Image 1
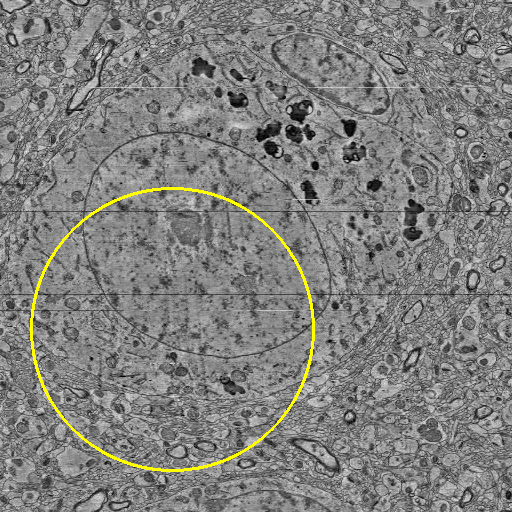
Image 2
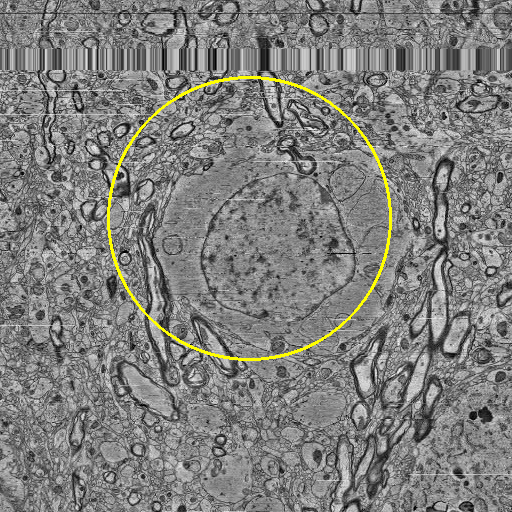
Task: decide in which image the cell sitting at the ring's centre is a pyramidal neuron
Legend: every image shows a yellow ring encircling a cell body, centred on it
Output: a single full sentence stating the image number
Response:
In image 1, the cell at the middle of the ring is the match.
